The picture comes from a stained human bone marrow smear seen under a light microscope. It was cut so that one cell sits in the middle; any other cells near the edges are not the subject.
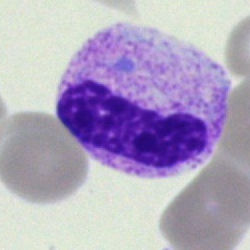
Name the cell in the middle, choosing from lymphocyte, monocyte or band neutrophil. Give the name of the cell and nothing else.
band neutrophil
